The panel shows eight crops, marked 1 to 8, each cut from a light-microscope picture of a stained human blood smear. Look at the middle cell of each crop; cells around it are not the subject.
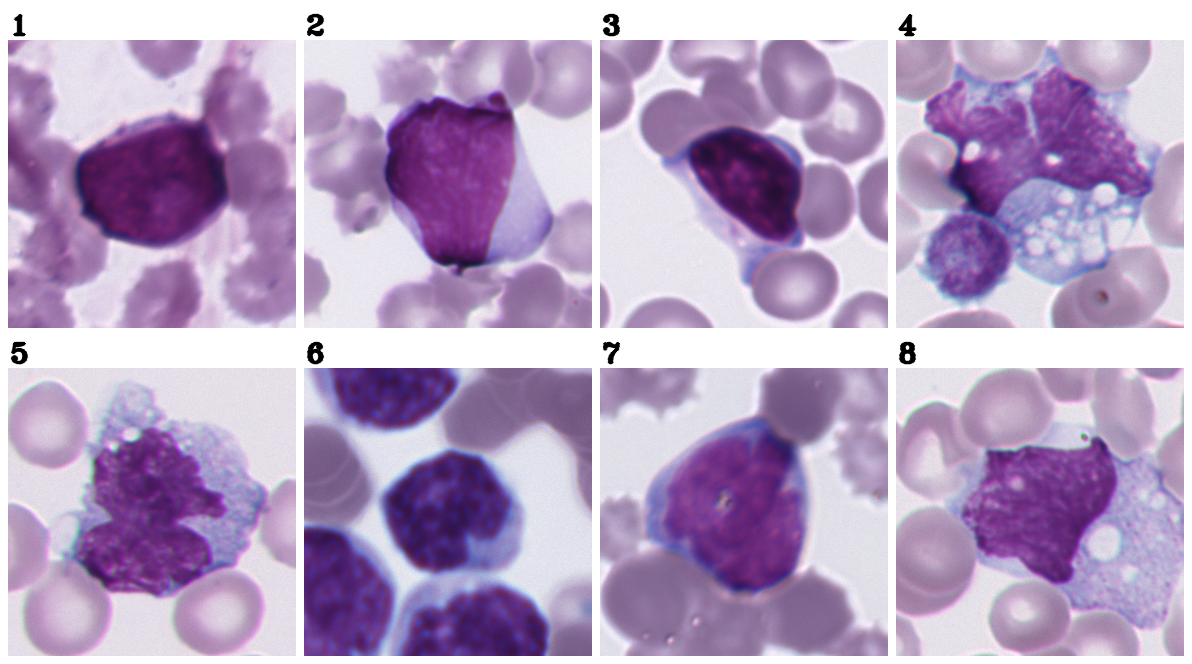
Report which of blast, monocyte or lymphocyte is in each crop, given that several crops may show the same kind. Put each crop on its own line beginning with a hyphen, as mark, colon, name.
- 1: blast
- 2: blast
- 3: lymphocyte
- 4: monocyte
- 5: monocyte
- 6: monocyte
- 7: blast
- 8: monocyte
